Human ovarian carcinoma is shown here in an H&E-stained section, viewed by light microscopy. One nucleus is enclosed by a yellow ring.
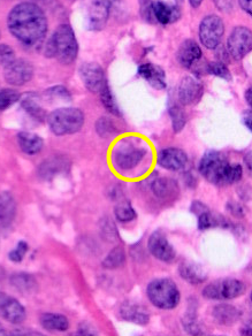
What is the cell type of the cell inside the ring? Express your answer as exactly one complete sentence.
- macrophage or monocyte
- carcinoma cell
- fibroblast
As classified here, the cell inside the ring is a carcinoma cell.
